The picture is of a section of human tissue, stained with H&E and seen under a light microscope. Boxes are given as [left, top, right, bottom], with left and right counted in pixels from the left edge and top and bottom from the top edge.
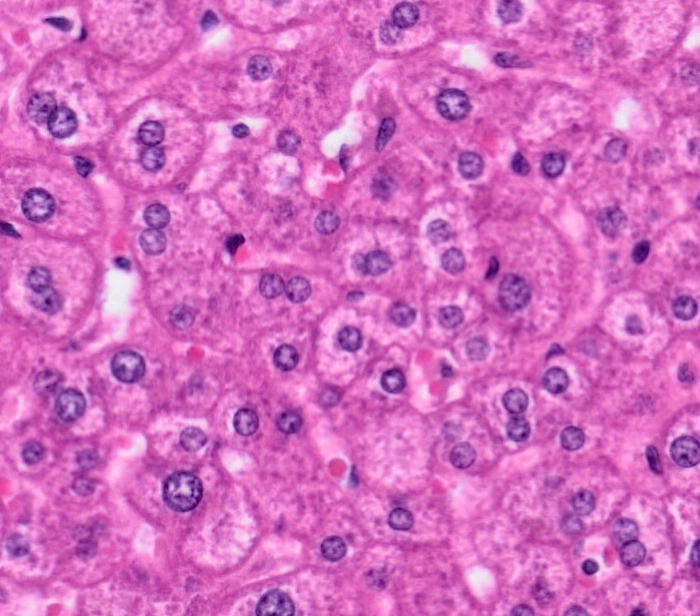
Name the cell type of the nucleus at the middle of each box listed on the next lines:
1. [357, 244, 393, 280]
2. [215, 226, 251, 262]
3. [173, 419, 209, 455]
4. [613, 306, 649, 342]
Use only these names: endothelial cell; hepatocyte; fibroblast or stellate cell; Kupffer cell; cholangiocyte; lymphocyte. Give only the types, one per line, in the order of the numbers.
hepatocyte
endothelial cell
hepatocyte
hepatocyte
